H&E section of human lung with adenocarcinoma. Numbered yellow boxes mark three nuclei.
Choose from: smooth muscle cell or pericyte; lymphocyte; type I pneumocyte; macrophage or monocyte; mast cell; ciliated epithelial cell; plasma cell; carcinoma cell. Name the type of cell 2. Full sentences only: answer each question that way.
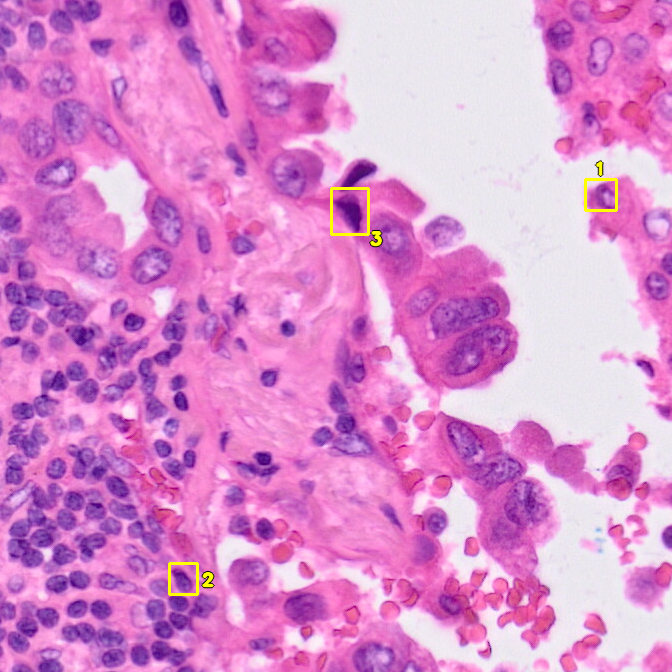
Heads up, the cell numbered 2 is a lymphocyte.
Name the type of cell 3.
In this section, number 3 marks a carcinoma cell.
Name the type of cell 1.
Classified as a macrophage or monocyte is the cell with the number 1.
